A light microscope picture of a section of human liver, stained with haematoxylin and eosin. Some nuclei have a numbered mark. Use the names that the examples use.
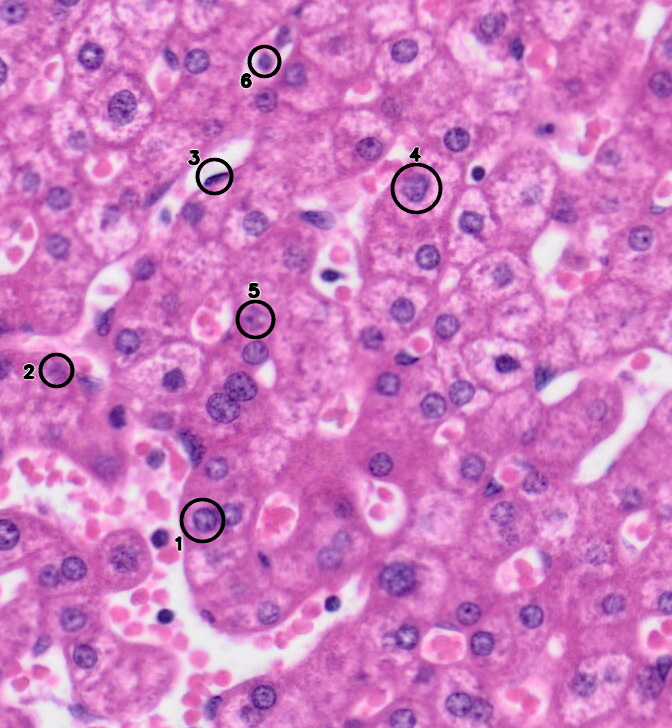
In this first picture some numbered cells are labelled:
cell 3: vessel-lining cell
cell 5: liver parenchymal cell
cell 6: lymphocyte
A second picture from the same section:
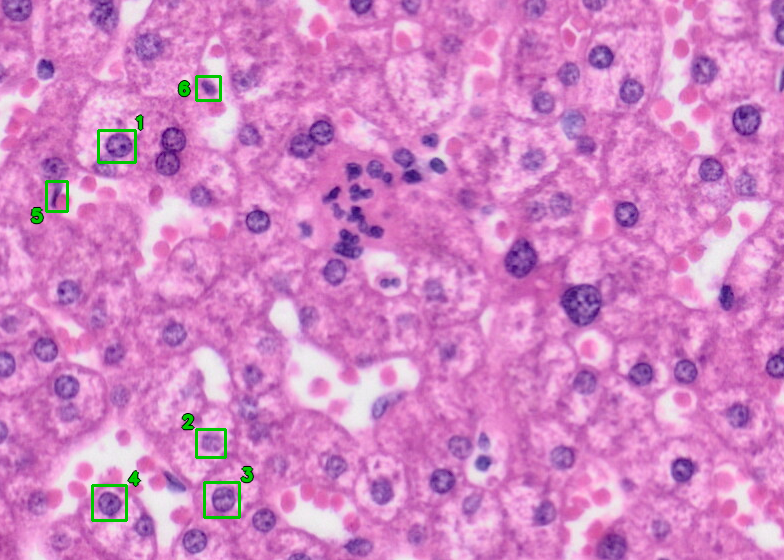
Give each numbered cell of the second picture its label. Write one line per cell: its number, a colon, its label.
1: liver parenchymal cell
2: liver parenchymal cell
3: liver parenchymal cell
4: liver parenchymal cell
5: vessel-lining cell
6: lymphocyte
